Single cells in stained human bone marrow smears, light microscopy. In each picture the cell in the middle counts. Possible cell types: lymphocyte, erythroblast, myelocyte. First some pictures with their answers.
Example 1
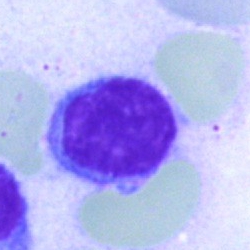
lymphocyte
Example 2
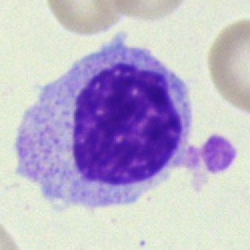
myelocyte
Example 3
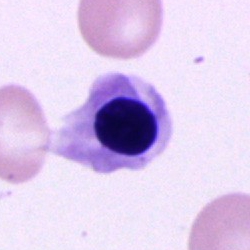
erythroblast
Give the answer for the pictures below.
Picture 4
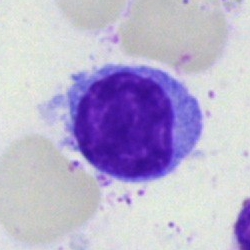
lymphocyte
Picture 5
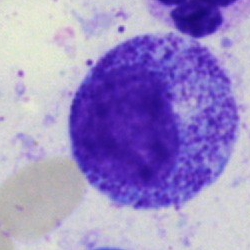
myelocyte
